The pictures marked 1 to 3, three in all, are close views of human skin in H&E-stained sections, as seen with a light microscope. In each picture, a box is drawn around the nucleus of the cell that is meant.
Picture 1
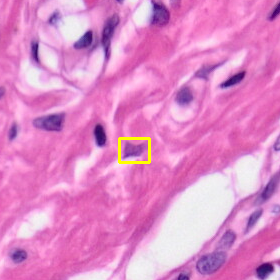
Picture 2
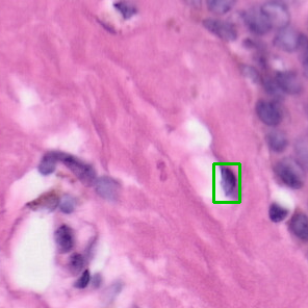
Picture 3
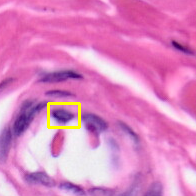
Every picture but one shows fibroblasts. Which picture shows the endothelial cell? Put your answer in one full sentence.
The picture with the endothelial cell is 3.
